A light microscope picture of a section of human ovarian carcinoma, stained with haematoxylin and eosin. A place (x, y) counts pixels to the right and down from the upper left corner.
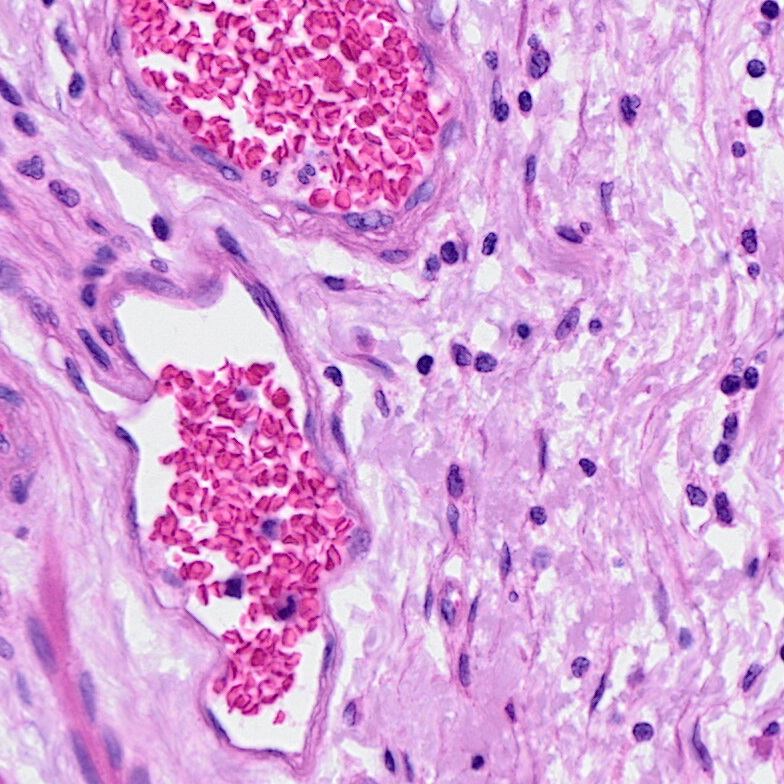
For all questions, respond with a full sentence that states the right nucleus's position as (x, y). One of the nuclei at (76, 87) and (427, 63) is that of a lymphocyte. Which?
The correct choice is the nucleus at (76, 87), which belongs to a lymphocyte.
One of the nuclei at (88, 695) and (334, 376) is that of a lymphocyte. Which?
As for which of the two, the nucleus at (334, 376) belongs to a lymphocyte.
